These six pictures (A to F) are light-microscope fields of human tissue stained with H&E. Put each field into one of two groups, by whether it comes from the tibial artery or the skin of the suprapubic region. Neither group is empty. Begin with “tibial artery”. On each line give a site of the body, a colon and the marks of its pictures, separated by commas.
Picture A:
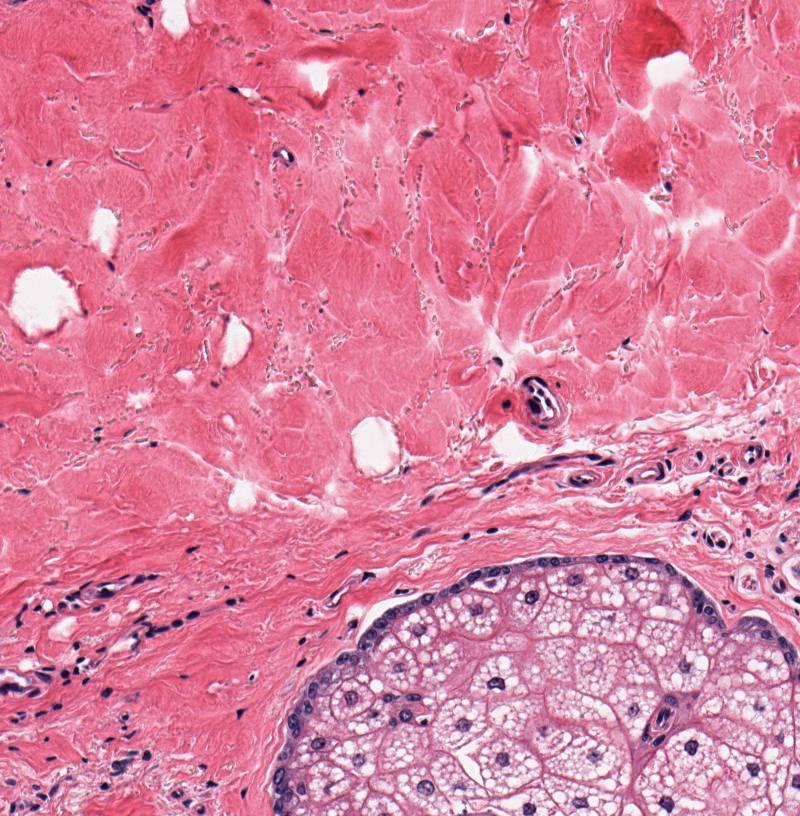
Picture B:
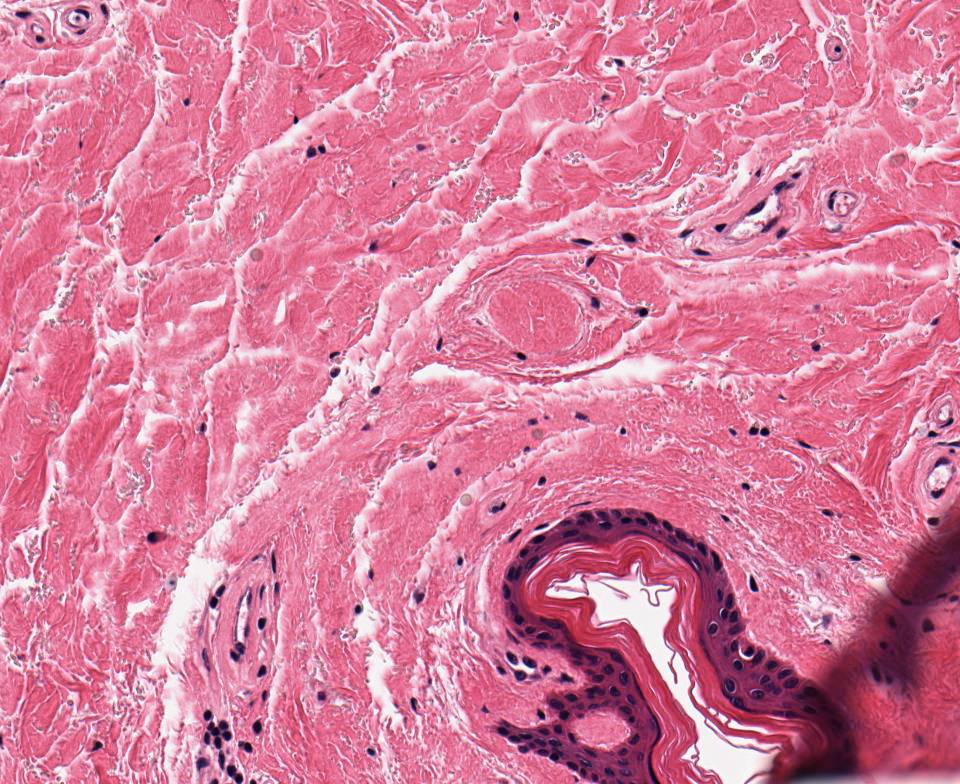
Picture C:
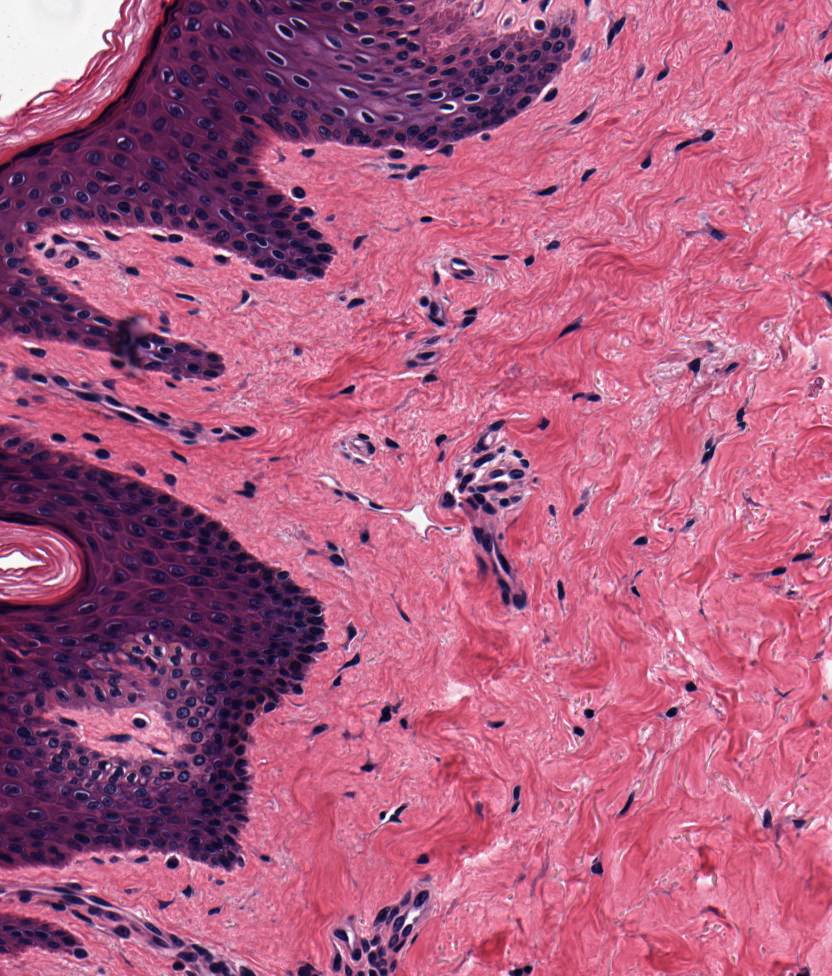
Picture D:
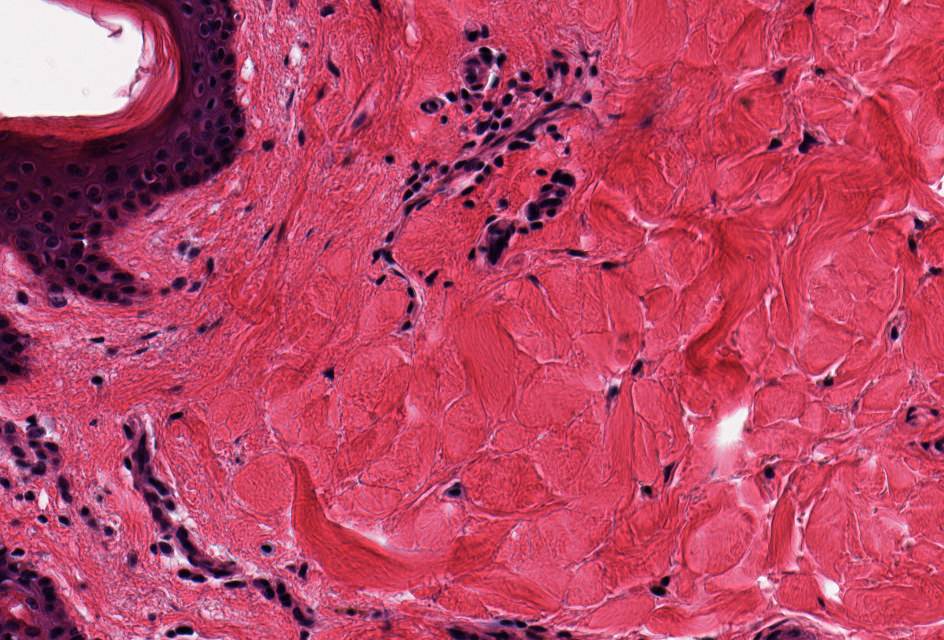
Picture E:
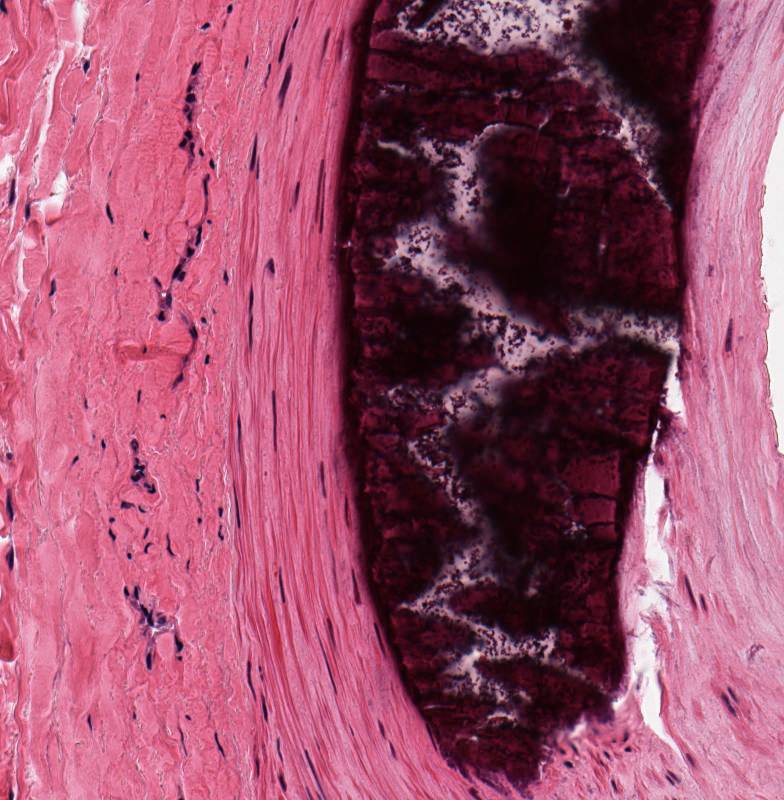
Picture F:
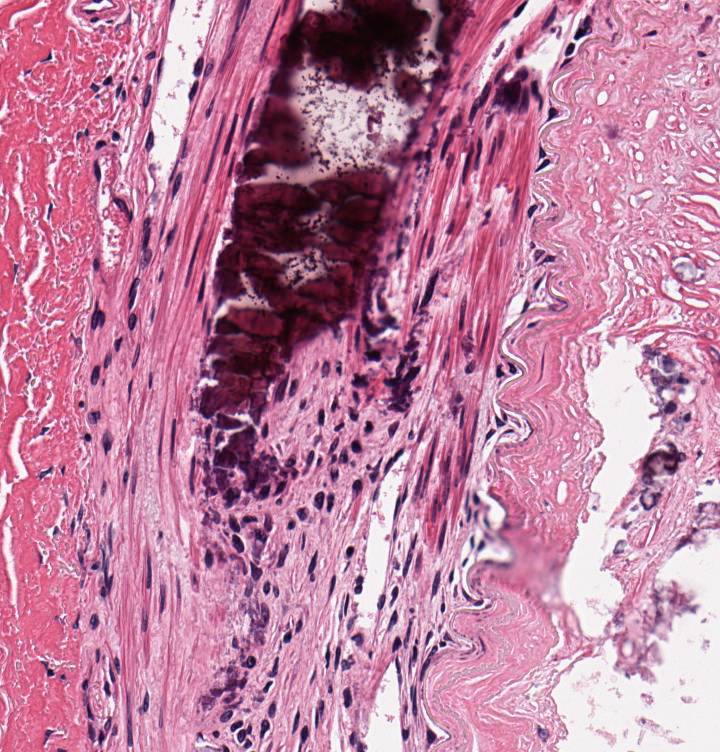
tibial artery: E, F
skin of the suprapubic region: A, B, C, D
